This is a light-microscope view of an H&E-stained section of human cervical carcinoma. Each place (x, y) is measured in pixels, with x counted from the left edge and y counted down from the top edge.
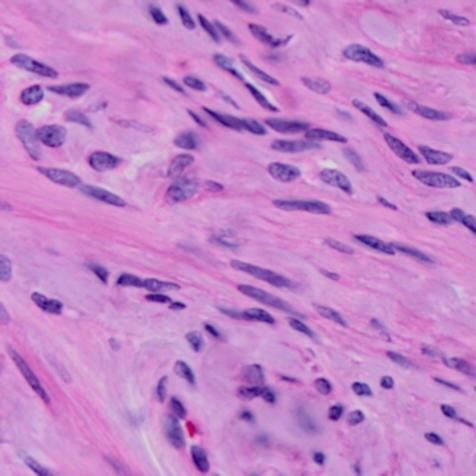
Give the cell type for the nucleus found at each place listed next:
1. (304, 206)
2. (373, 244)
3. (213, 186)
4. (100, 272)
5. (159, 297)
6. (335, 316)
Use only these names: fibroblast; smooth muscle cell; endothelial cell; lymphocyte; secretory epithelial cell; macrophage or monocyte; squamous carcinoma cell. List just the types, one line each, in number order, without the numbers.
fibroblast
fibroblast
smooth muscle cell
fibroblast
fibroblast
smooth muscle cell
